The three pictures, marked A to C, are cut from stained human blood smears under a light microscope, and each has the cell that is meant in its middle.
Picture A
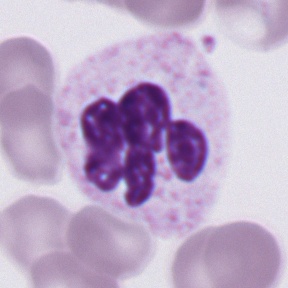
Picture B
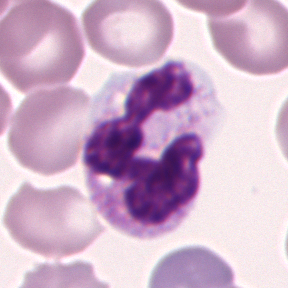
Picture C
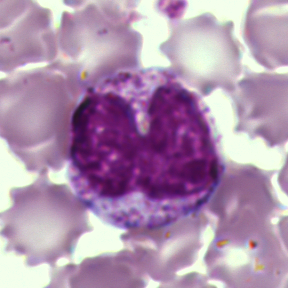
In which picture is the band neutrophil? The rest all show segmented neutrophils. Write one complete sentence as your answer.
The cell in picture C is the band neutrophil.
